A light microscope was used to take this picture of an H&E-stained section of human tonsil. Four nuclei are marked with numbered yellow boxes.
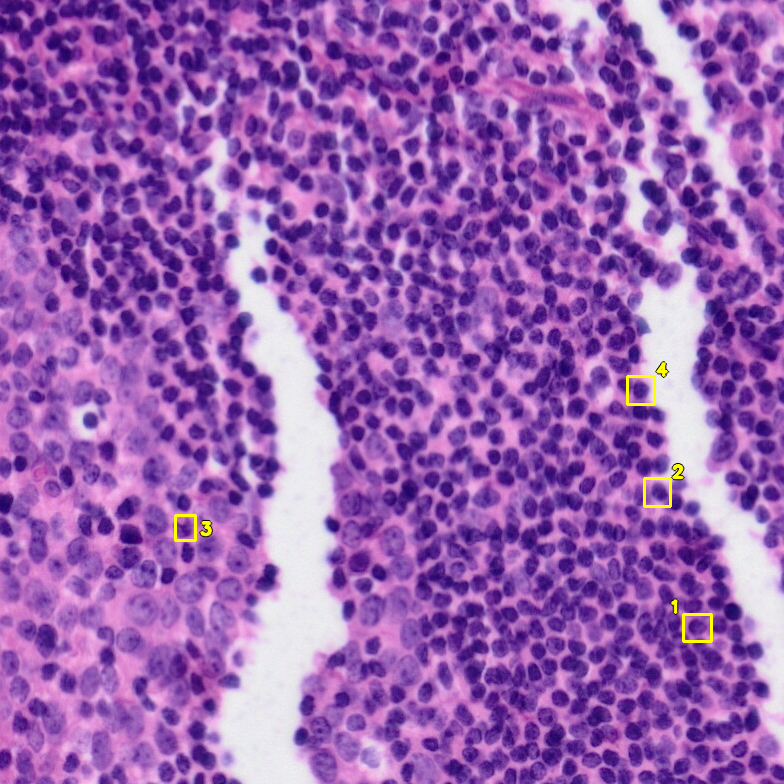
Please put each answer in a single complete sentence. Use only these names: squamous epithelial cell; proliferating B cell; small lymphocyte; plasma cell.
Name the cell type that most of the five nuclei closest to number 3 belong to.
Proliferating B cells make up most of the five nuclei closest to number 3.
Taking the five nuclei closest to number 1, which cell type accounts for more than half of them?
Small lymphocytes account for more than half of the five nuclei nearest to number 1.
